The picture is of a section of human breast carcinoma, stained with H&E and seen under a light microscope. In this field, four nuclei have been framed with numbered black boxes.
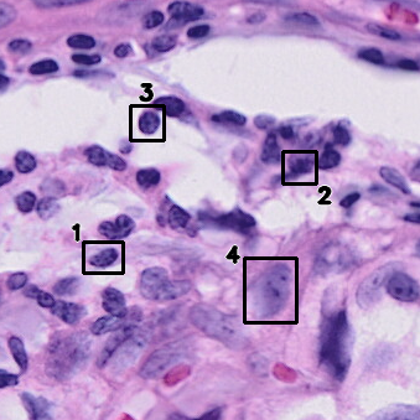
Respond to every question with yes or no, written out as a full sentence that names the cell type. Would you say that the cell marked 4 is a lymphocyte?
No, cell 4 is to be classed as a carcinoma cell, not a lymphocyte.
